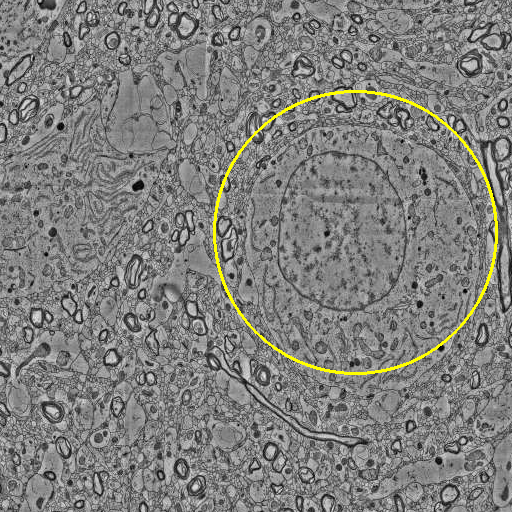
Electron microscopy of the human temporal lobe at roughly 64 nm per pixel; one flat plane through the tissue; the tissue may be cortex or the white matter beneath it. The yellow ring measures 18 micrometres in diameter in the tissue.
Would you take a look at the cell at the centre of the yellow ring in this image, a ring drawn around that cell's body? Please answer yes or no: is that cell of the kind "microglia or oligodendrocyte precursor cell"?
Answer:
no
